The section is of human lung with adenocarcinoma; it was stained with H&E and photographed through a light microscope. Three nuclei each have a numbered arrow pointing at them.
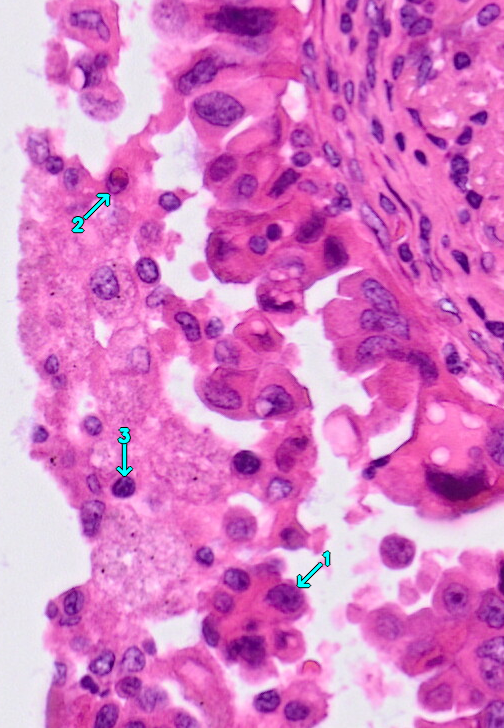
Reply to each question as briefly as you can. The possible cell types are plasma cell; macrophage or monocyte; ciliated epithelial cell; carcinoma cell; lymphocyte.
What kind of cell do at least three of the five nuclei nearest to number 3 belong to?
macrophage or monocyte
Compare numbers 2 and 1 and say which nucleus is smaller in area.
2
